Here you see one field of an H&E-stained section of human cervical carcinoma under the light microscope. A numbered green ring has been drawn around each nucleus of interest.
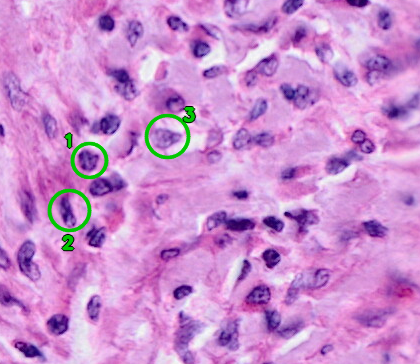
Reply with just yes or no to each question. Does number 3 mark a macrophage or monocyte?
yes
